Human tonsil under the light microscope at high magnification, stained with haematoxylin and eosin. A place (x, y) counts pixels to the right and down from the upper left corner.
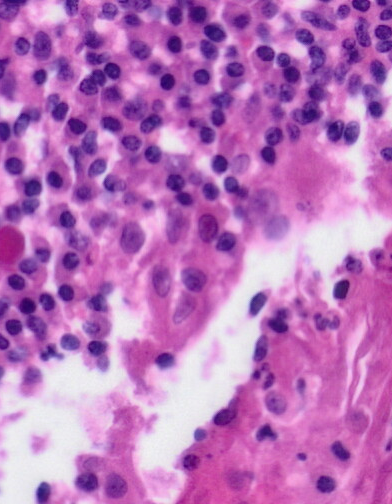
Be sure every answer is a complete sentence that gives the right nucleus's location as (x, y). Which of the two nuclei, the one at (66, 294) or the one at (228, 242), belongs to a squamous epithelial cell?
The one belonging to a squamous epithelial cell is the nucleus at (228, 242), not the other.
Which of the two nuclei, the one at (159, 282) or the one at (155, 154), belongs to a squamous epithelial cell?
Here the nucleus at (159, 282) is the one that belongs to a squamous epithelial cell.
